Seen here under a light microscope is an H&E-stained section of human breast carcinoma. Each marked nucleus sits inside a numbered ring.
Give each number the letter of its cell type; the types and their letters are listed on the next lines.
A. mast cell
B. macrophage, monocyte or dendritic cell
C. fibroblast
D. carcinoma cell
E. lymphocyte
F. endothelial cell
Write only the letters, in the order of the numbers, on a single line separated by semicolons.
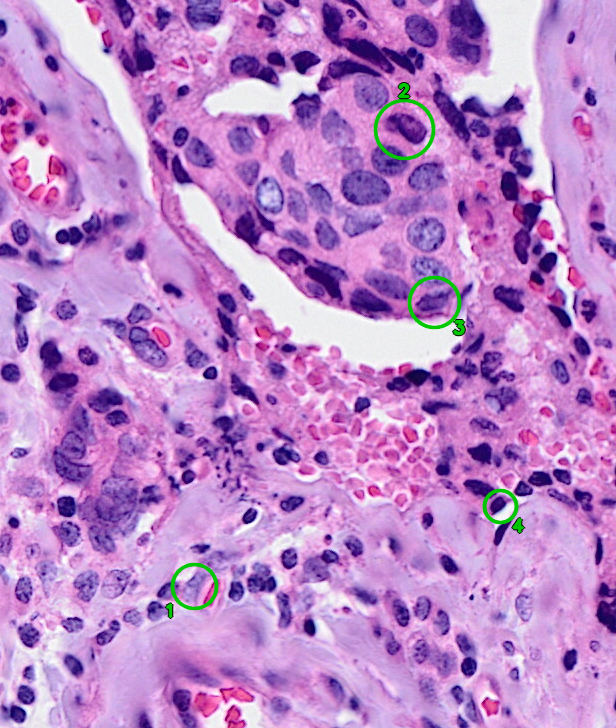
F; D; D; E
